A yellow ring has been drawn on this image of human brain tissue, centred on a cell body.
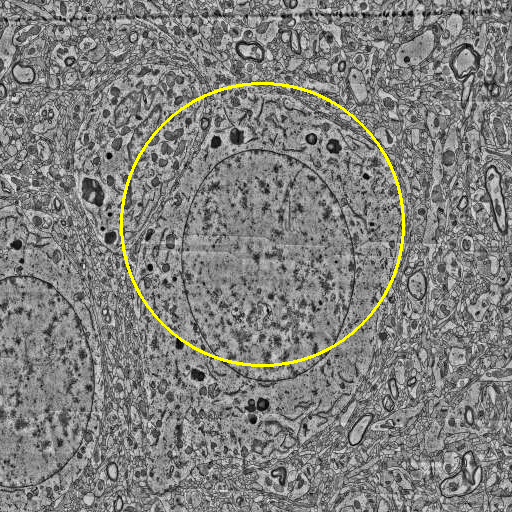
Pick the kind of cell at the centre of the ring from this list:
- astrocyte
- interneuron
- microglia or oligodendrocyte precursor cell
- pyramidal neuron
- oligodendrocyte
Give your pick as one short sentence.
The centre of the ring holds a pyramidal neuron.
